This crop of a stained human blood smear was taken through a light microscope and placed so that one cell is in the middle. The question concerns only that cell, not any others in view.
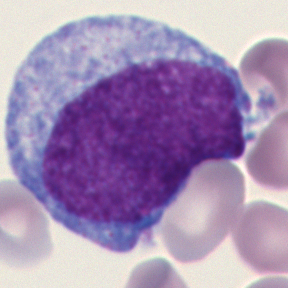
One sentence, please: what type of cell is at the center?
The central cell, amid any neighbouring cells, is a promyelocyte.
